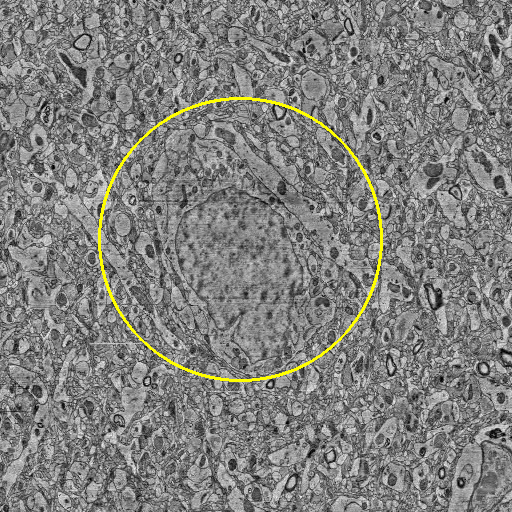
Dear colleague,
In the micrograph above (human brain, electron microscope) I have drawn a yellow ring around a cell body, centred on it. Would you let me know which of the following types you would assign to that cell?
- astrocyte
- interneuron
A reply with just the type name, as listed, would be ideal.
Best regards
interneuron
